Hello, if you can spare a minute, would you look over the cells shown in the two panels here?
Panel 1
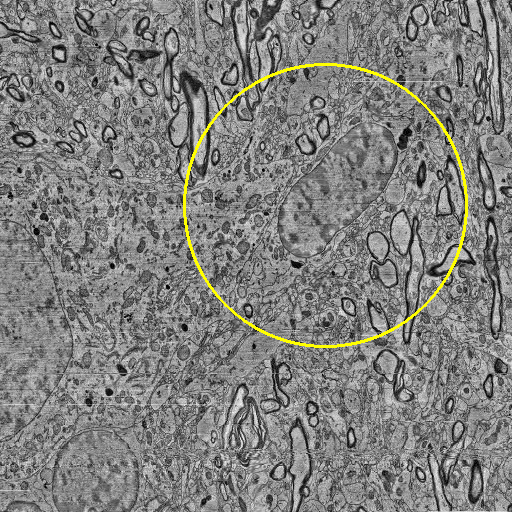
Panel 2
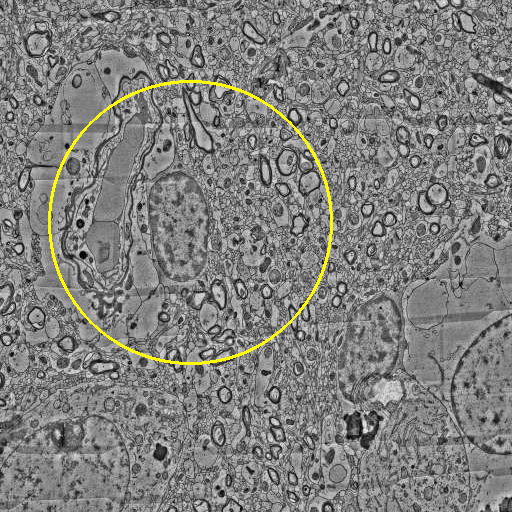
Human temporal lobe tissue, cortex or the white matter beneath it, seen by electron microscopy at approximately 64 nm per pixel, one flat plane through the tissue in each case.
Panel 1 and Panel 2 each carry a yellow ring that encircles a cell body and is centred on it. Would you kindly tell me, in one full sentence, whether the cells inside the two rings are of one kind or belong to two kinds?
The cells at the centres of the rings in Panel 1 and Panel 2 belong to two kinds.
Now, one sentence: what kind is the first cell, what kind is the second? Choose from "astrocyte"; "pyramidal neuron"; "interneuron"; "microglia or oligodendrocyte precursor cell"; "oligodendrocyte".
The first picture has a microglial cell or oligodendrocyte precursor cell at its ring centre, and the second has an oligodendrocyte.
